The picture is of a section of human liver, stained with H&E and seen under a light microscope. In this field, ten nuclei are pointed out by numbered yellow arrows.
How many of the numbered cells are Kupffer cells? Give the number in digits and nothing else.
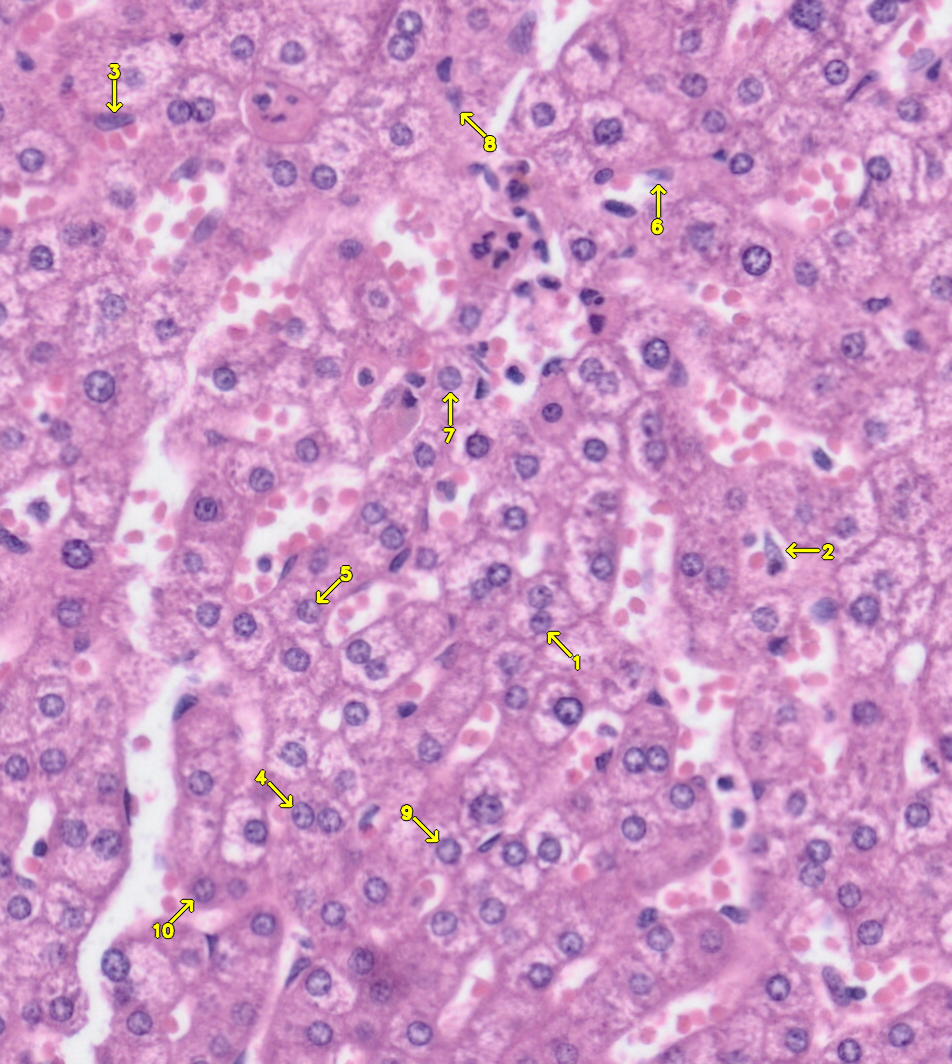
2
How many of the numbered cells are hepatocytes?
6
